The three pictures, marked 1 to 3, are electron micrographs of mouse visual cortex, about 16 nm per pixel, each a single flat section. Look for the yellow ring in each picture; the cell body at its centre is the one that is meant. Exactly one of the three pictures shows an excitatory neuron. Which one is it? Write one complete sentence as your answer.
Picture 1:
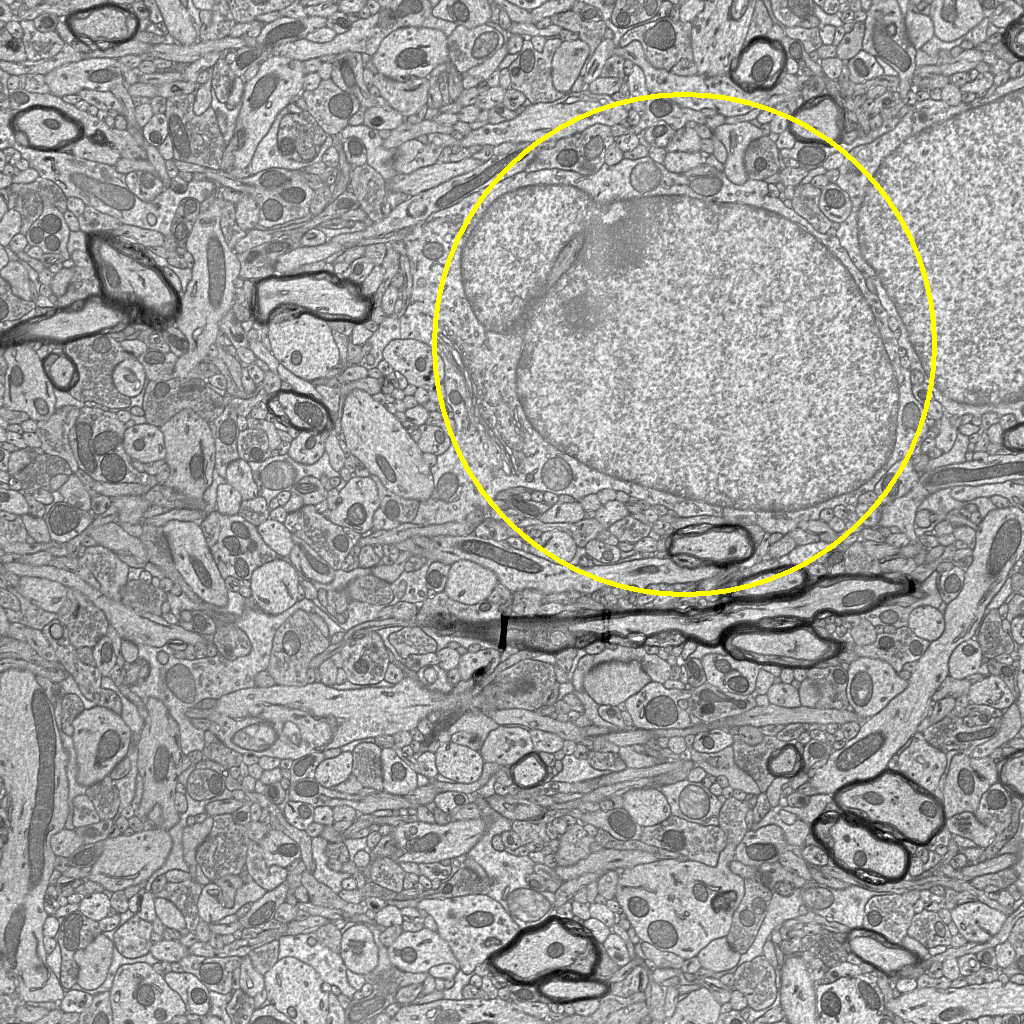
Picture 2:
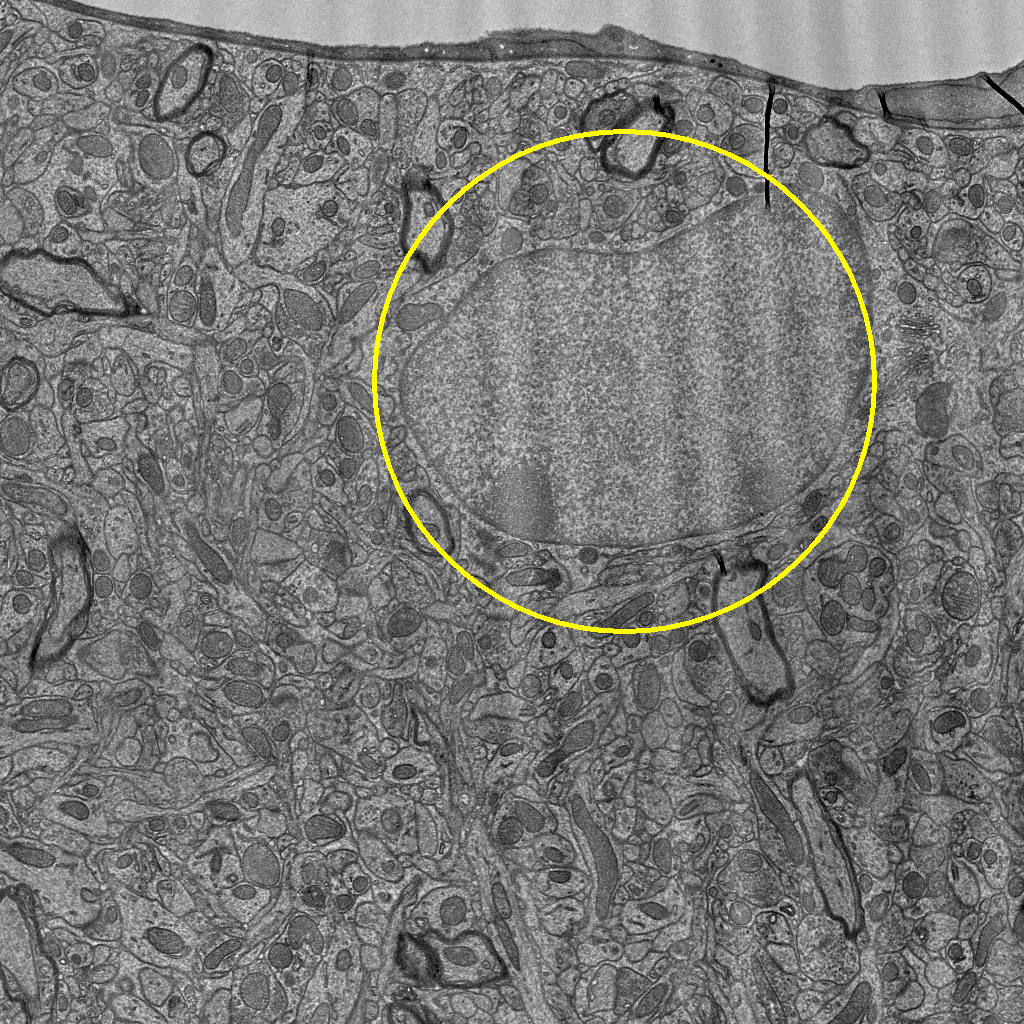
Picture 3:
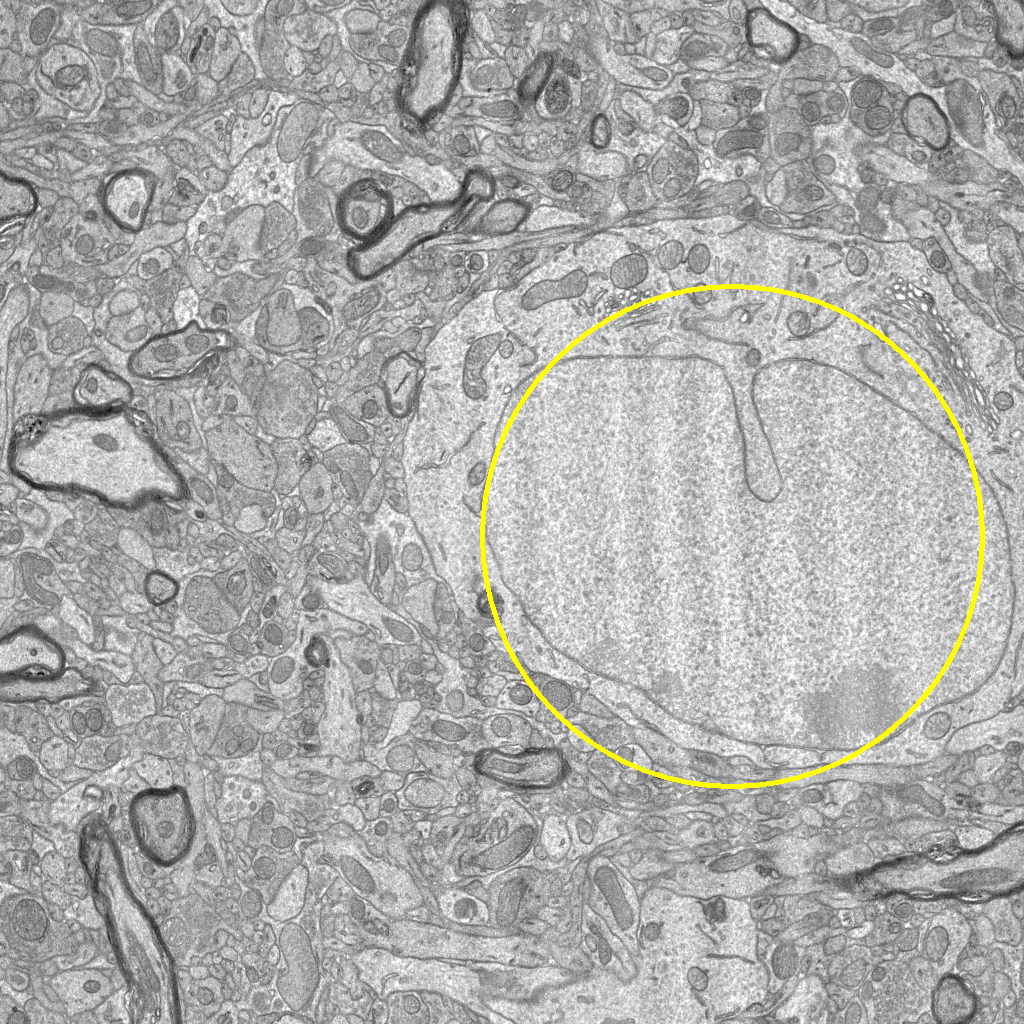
The picture with the excitatory neuron is 3.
